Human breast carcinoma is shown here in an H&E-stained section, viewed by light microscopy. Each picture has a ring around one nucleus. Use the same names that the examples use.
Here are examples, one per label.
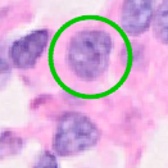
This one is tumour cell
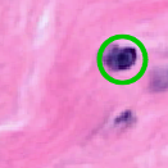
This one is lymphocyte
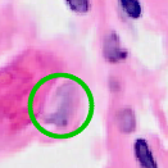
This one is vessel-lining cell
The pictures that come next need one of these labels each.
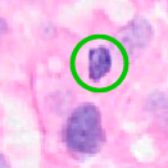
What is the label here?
lymphocyte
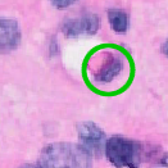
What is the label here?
vessel-lining cell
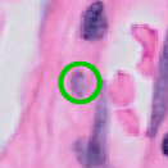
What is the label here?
vessel-lining cell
